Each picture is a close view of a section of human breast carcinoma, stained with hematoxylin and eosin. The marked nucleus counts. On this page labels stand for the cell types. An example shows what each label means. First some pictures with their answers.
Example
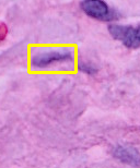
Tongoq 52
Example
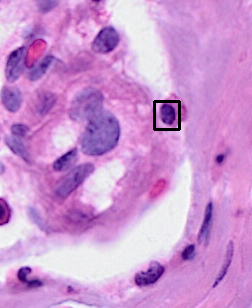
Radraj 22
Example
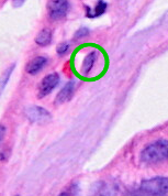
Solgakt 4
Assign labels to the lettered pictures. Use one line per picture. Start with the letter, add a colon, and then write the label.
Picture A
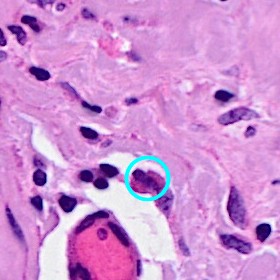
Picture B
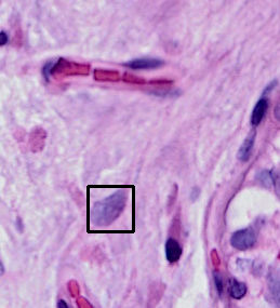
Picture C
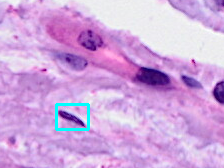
A: Radraj 22
B: Tongoq 52
C: Tongoq 52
